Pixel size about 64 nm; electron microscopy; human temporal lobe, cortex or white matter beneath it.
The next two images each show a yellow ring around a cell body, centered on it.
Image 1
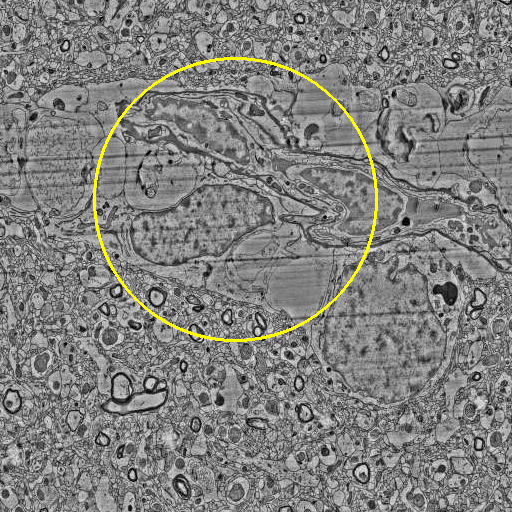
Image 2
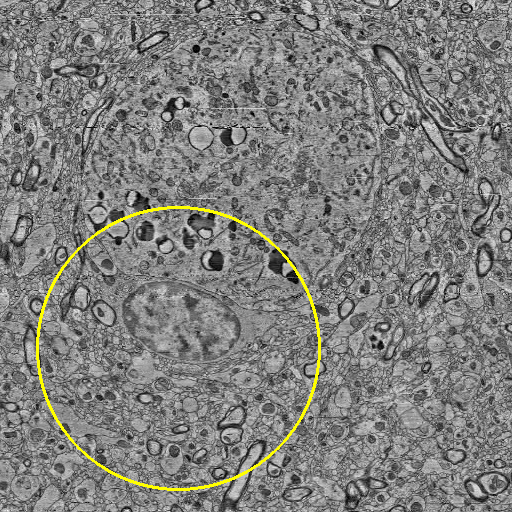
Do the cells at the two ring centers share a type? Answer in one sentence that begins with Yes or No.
No, across the two images the cells at the ring centers are of two types.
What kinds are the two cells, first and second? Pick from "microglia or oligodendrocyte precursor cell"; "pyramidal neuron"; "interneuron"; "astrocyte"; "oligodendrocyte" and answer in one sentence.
The second picture holds an oligodendrocyte in its ring, and the first holds a microglial cell or oligodendrocyte precursor cell.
